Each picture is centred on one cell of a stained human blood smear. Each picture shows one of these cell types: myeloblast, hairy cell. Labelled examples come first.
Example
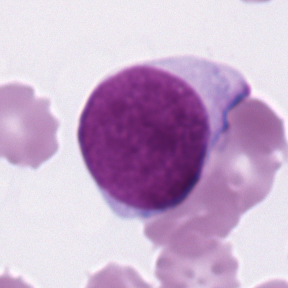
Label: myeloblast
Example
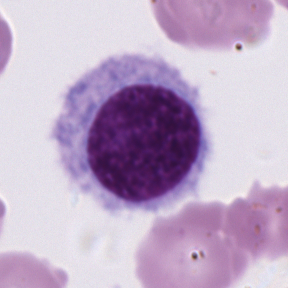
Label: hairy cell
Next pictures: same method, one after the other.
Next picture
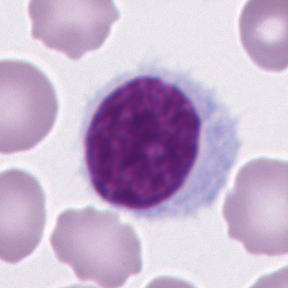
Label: hairy cell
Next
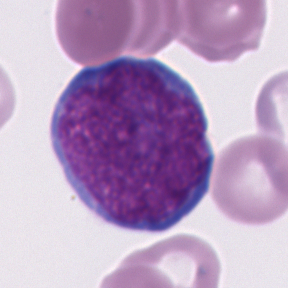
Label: myeloblast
